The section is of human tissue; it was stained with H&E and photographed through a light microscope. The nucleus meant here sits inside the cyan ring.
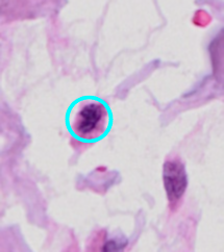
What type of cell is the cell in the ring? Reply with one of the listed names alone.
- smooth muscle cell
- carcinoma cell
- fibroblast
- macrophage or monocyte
macrophage or monocyte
